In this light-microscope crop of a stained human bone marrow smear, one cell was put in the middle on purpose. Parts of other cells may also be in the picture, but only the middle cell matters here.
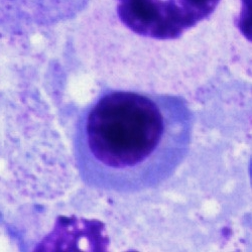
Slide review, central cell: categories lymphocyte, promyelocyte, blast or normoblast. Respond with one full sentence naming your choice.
Centrally within this crop lies a normoblast.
